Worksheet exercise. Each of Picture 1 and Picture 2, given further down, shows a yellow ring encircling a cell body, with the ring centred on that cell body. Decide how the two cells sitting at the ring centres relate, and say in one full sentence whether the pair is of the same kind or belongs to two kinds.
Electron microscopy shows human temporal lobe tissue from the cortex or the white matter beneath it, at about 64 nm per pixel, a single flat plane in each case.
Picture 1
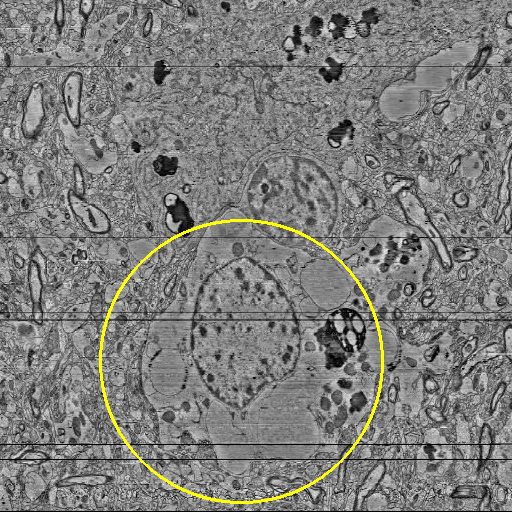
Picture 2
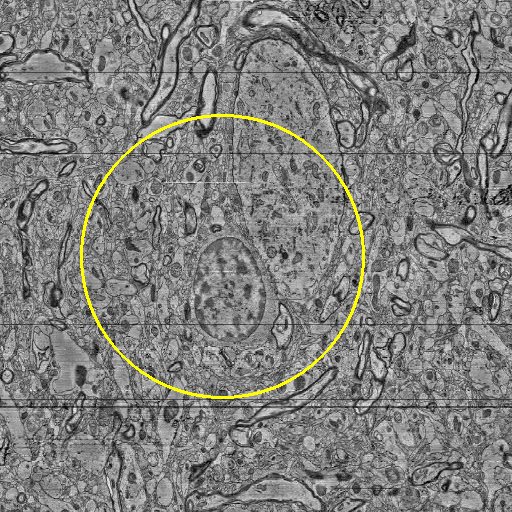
The cells at the ring centres in Picture 1 and Picture 2 belong to two kinds.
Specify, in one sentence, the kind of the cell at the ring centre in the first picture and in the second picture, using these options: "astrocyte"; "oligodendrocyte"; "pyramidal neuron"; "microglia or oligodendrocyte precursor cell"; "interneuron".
So the first is an astrocyte, the second an oligodendrocyte.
